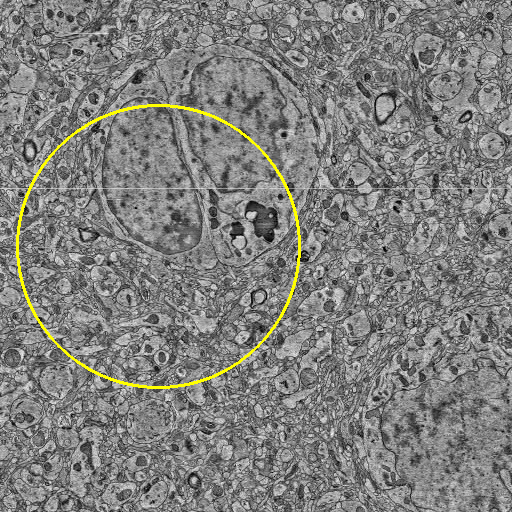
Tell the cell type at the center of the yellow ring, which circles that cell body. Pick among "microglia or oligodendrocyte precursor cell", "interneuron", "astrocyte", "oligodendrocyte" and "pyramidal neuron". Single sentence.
The ring is centered on the body of a microglial cell or oligodendrocyte precursor cell.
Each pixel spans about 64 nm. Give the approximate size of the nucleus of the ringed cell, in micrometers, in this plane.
In this plane the nucleus is clearly longer than it is wide: roughly 11 by 6 micrometres.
